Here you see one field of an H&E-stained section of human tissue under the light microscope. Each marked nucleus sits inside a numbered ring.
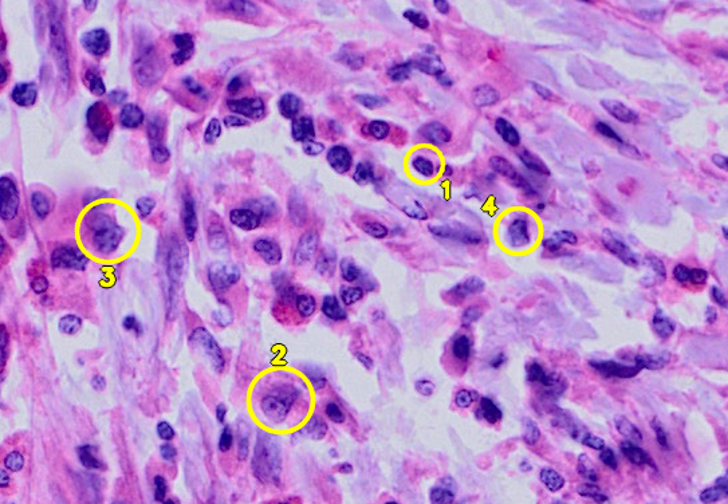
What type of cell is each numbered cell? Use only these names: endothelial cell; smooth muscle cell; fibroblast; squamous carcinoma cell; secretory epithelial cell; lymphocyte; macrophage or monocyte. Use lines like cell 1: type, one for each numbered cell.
cell 1: lymphocyte
cell 2: macrophage or monocyte
cell 3: macrophage or monocyte
cell 4: lymphocyte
